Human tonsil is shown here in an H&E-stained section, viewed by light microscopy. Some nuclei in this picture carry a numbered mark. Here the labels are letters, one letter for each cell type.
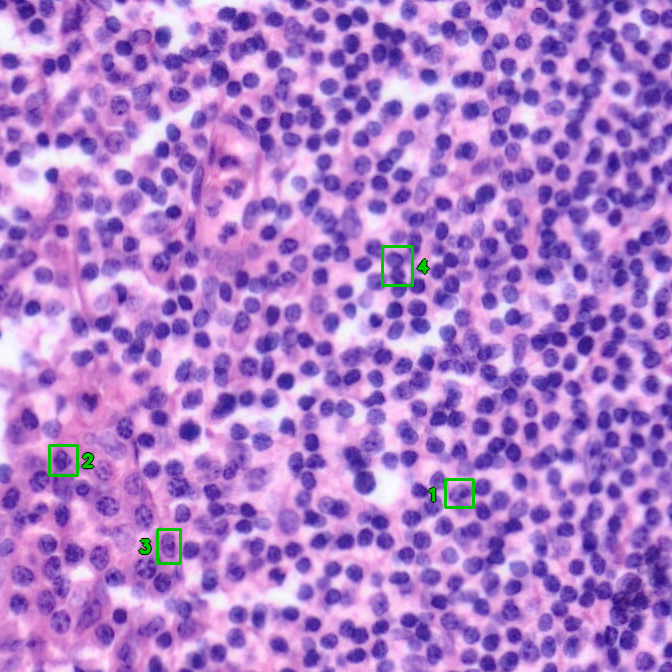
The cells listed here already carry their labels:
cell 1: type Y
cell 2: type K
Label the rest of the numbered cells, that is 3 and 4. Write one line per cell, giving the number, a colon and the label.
3: type K
4: type Y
